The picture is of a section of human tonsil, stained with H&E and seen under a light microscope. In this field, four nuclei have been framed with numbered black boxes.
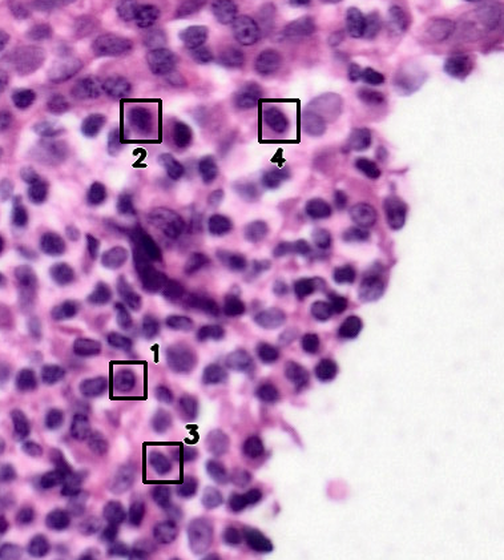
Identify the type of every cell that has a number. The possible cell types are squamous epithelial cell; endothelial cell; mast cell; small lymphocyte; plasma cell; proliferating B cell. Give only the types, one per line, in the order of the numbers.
plasma cell
plasma cell
small lymphocyte
plasma cell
